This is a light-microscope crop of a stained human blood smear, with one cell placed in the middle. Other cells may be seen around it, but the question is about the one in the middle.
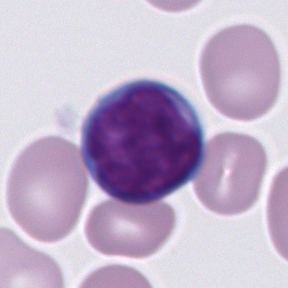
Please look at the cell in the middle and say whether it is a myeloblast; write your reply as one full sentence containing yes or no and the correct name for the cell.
No, the cell in the middle is a typical lymphocyte, not a myeloblast.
